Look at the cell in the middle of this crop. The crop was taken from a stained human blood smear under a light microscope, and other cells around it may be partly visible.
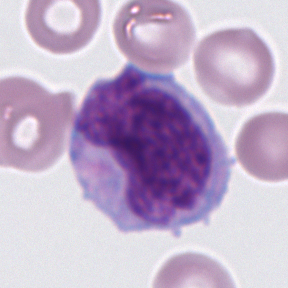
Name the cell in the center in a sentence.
In this crop, the cell at the very middle is an atypical promyelocyte.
